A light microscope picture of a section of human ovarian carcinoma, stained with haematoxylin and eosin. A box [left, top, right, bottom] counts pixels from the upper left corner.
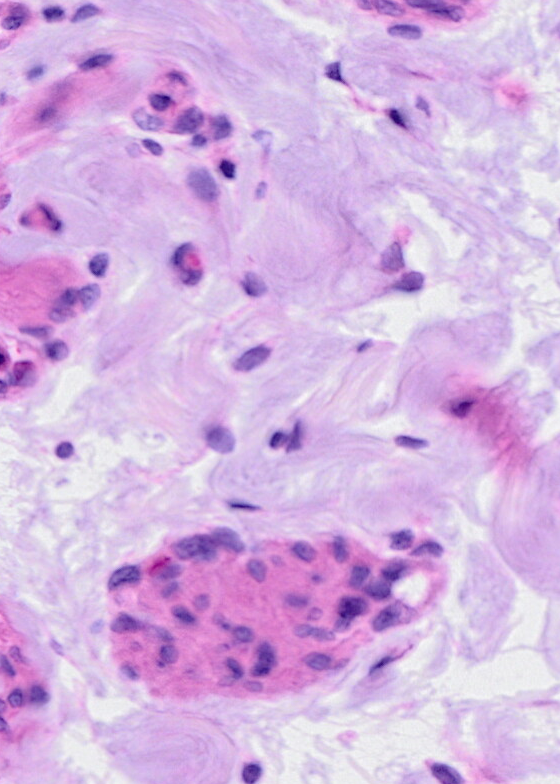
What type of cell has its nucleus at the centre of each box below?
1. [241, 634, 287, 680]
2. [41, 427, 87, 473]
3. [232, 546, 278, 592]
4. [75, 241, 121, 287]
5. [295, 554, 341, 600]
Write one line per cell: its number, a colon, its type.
1: smooth muscle cell
2: lymphocyte
3: smooth muscle cell
4: lymphocyte
5: smooth muscle cell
